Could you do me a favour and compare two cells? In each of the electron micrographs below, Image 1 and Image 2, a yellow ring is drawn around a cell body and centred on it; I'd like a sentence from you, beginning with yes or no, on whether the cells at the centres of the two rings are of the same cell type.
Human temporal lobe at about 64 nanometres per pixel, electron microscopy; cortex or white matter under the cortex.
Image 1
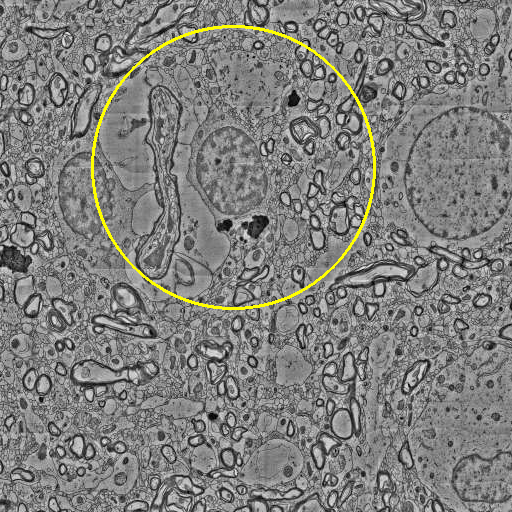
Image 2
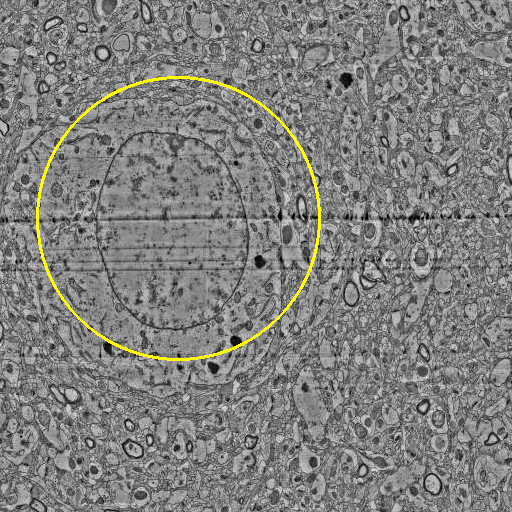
No, the two cells are of two cell types.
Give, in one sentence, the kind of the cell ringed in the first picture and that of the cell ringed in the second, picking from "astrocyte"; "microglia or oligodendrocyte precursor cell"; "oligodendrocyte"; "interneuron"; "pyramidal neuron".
For the first picture it is an oligodendrocyte; for the second, a pyramidal neuron.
